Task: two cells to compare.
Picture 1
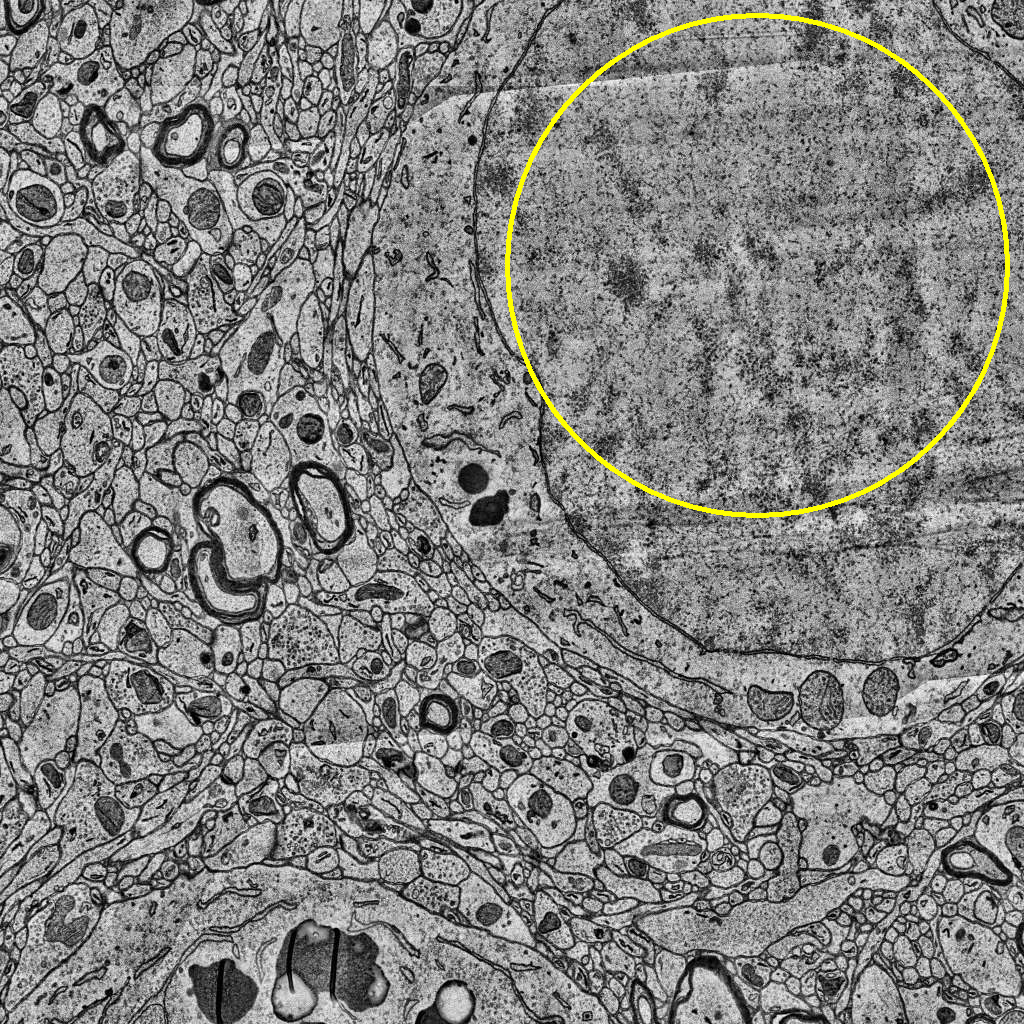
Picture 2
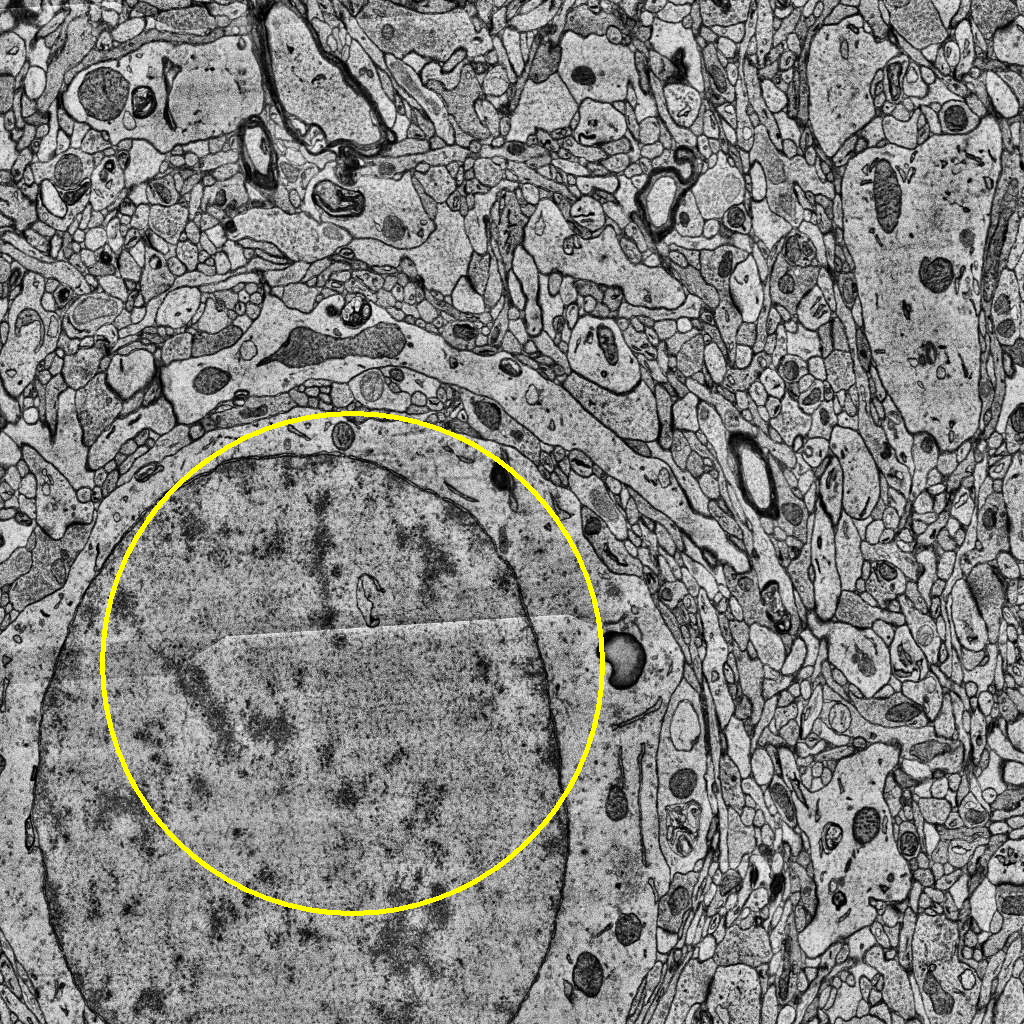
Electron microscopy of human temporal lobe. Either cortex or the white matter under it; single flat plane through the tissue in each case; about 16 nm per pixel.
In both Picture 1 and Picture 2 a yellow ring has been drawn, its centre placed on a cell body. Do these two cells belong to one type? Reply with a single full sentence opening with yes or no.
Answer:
Yes, the two cells at the ring centres in Picture 1 and Picture 2 share one type.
